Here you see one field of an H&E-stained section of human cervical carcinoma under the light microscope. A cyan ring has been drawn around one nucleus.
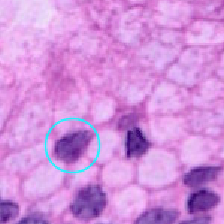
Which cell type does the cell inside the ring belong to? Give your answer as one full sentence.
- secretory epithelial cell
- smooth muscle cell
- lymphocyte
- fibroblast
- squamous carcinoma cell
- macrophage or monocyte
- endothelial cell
In the tissue under study, the cell inside the ring is a secretory epithelial cell.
